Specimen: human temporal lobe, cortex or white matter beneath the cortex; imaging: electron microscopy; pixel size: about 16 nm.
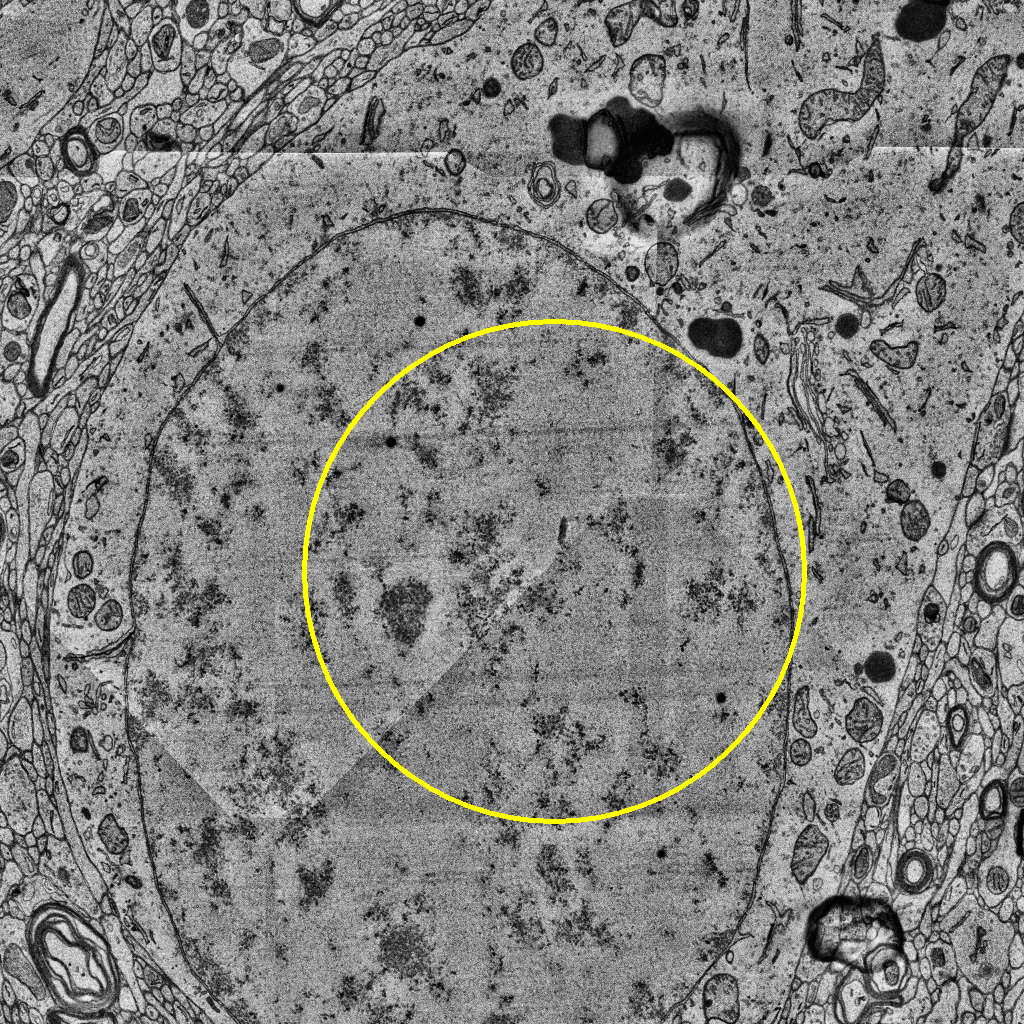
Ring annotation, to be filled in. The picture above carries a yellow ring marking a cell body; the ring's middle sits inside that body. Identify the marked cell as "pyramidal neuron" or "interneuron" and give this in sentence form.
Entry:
The cell at the middle of the ring is a pyramidal neuron.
